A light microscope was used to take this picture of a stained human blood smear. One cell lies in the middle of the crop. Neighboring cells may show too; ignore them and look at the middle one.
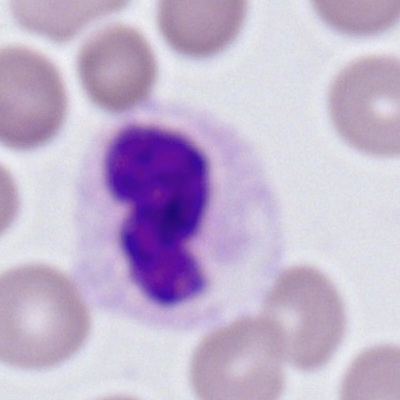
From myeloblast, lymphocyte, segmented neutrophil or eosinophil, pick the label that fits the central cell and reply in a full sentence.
Positioned in the middle of the crop is a segmented neutrophil.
